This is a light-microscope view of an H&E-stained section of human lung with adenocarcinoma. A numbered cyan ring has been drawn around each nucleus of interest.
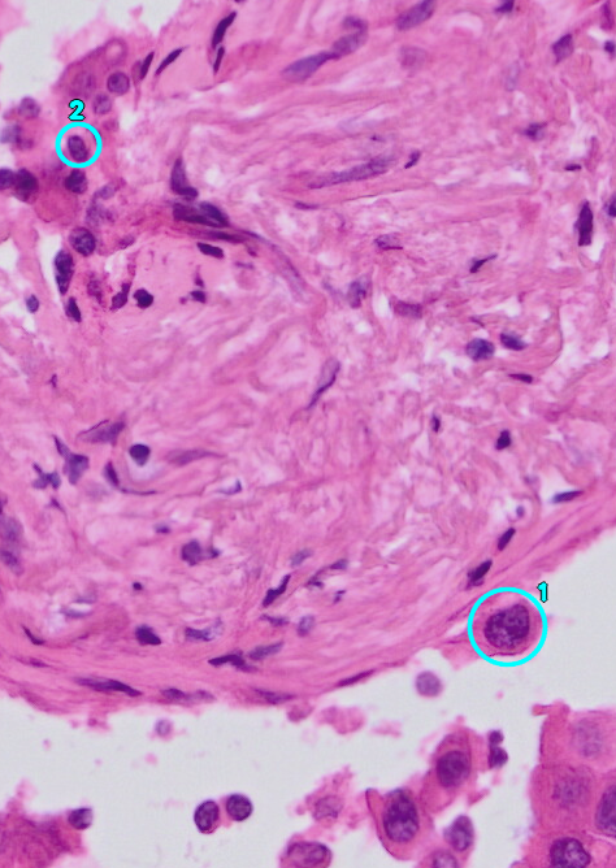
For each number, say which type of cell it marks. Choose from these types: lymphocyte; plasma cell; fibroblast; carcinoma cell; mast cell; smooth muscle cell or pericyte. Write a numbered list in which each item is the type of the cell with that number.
1. carcinoma cell
2. lymphocyte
